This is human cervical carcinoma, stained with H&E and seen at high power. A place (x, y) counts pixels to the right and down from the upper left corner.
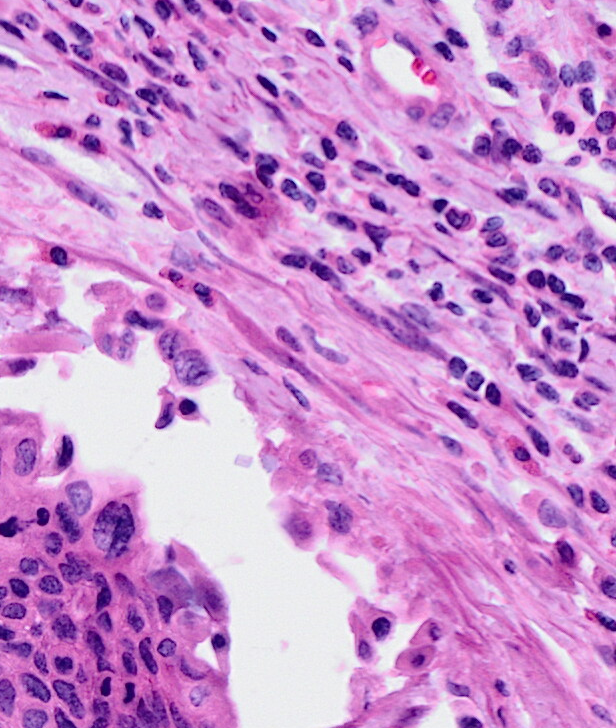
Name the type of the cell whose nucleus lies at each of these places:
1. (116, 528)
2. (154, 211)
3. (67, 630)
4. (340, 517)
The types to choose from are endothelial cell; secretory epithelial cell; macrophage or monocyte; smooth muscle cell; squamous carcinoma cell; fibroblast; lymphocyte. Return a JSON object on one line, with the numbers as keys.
{"1": "squamous carcinoma cell", "2": "lymphocyte", "3": "squamous carcinoma cell", "4": "macrophage or monocyte"}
